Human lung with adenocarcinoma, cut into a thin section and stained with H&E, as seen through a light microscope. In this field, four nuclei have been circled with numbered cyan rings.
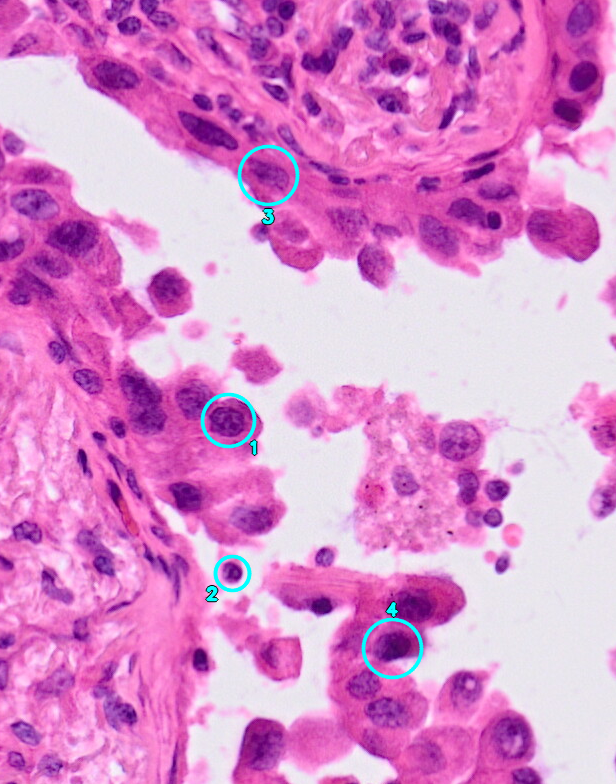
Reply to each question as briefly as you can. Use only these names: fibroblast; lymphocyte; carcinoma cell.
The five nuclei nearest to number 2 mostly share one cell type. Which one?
fibroblast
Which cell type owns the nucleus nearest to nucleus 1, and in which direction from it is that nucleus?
a carcinoma cell, above and to the left of nucleus 1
